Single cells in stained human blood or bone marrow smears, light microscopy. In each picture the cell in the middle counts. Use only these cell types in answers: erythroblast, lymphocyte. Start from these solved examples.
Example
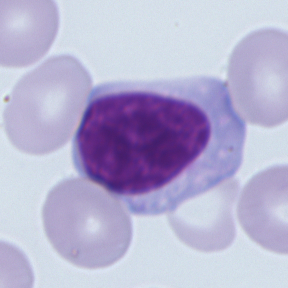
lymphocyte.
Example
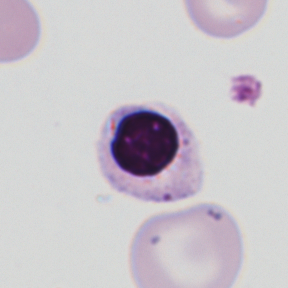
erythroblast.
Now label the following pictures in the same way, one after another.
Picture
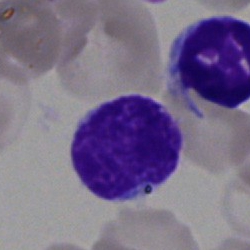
lymphocyte.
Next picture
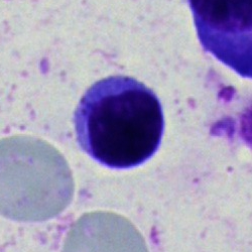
lymphocyte.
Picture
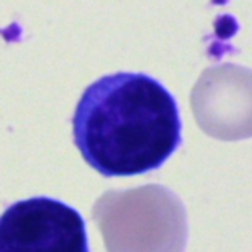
lymphocyte.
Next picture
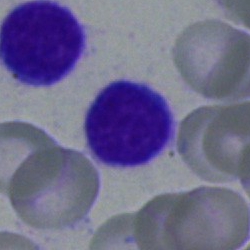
lymphocyte.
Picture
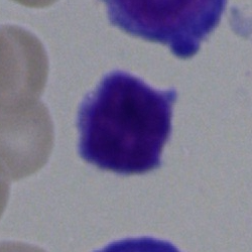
lymphocyte.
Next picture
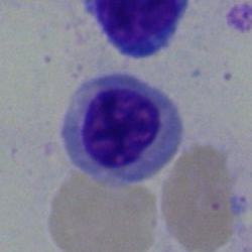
erythroblast.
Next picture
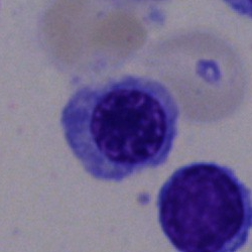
erythroblast.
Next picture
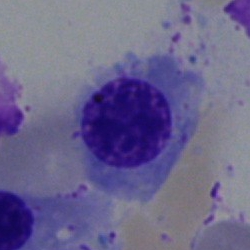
erythroblast.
